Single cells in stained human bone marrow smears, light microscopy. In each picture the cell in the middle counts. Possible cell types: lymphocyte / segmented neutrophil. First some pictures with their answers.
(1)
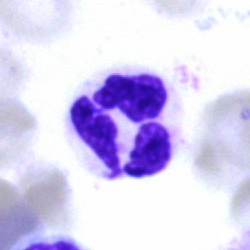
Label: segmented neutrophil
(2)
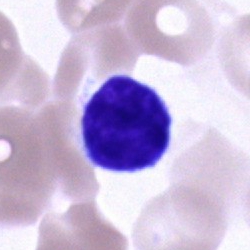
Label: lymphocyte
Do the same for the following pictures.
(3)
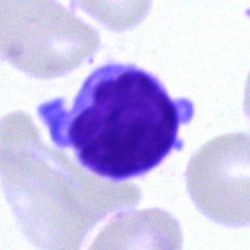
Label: lymphocyte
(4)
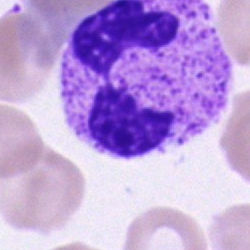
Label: segmented neutrophil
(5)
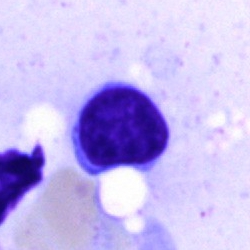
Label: lymphocyte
